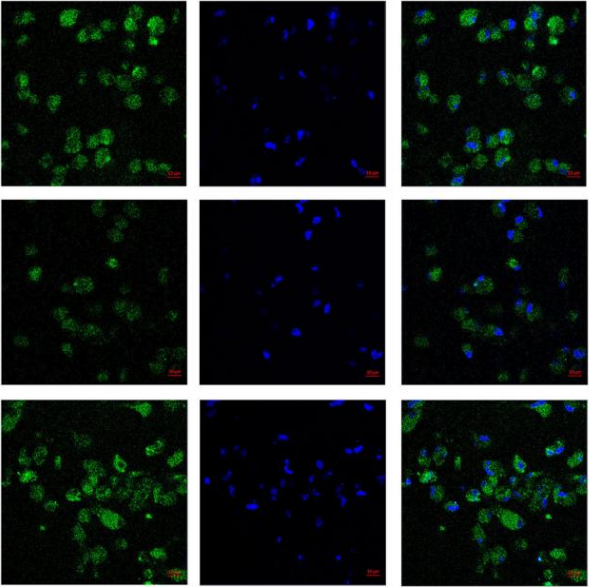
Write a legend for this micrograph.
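A grid of fluorescence images shows scattered, isolated, rounded cells in three rows, with green-only, blue-only and merged columns. The brightness and number of green cells vary from row to row, fainter in the middle row.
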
